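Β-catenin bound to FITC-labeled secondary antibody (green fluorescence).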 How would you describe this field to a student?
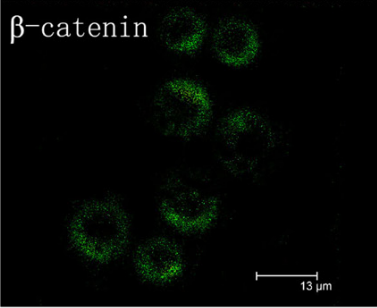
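Round single cells whose green staining is punctate and collects in the cytoplasm as a ring around each cell. The central nuclear region stays largely dark, so each cell looks hollow.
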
